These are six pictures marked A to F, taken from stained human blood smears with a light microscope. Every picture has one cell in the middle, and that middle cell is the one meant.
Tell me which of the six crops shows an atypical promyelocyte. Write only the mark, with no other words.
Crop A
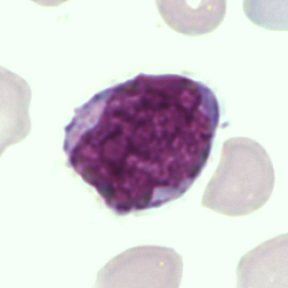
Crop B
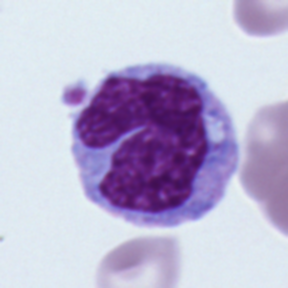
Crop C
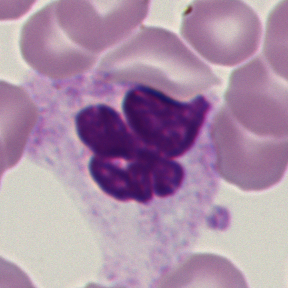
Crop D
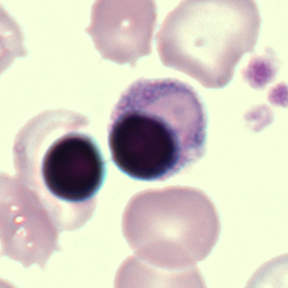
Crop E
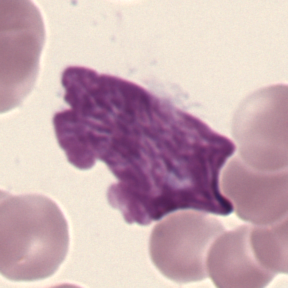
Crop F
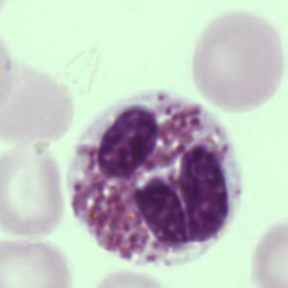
A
